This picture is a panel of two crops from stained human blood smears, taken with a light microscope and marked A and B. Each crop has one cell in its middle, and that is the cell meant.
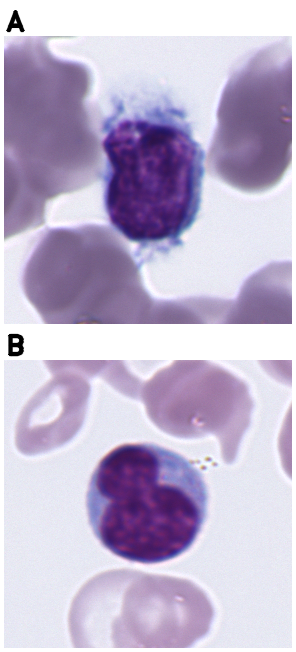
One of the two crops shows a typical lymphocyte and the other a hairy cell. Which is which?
A: hairy cell
B: typical lymphocyte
